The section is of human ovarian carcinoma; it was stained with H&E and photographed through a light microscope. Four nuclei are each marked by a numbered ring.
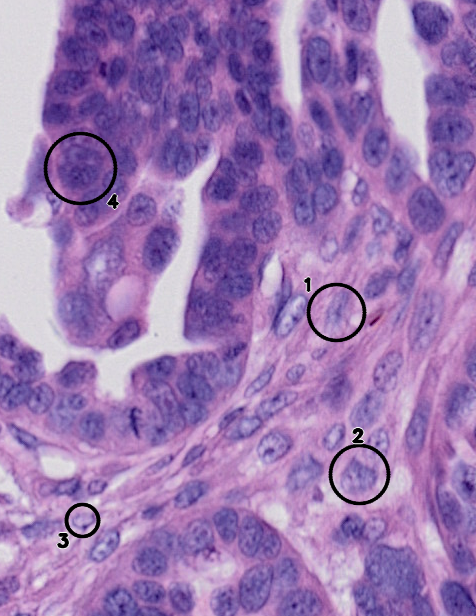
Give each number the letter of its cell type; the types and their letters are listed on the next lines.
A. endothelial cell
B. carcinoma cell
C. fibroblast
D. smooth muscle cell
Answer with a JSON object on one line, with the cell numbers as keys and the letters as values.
{"1": "C", "2": "C", "3": "C", "4": "B"}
